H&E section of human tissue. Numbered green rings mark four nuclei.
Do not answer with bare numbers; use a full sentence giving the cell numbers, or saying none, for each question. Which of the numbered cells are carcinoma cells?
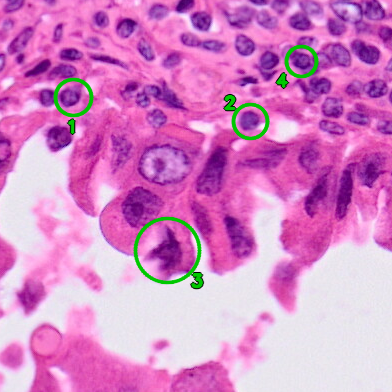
Of the numbered nuclei, only the one labelled 3 belongs to a carcinoma cell.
